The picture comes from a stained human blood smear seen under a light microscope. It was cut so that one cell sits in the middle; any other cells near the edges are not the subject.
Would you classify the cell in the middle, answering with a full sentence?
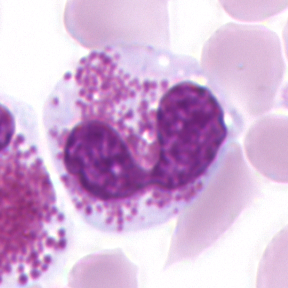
The cell in the middle of the field of view is an eosinophil.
